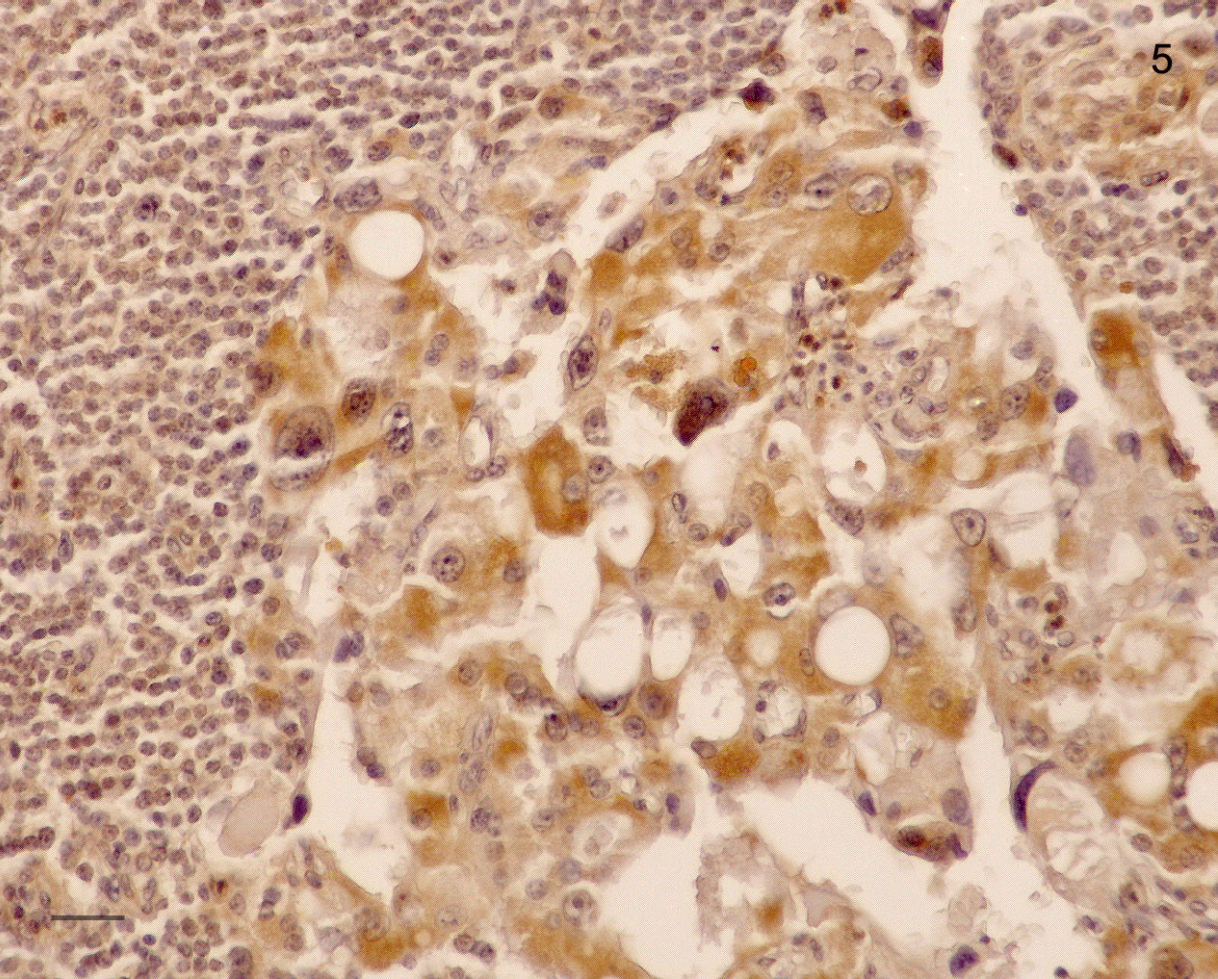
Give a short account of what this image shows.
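The small cells on the left and top have small, round, bluish nuclei and scant cytoplasm with only faint brown tint. The large cells in the centre and right have abundant cytoplasm and big, irregular nuclei, some with prominent nucleoli and one very dark, enlarged nucleus.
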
